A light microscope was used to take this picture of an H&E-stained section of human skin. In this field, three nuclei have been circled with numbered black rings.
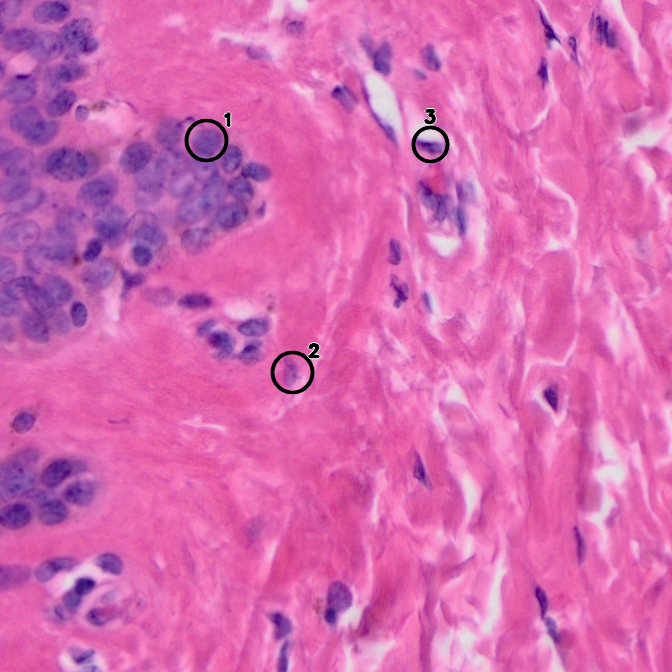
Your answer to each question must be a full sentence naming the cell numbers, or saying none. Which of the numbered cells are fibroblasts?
In this section, the cells labelled 2 and 3 are fibroblasts.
